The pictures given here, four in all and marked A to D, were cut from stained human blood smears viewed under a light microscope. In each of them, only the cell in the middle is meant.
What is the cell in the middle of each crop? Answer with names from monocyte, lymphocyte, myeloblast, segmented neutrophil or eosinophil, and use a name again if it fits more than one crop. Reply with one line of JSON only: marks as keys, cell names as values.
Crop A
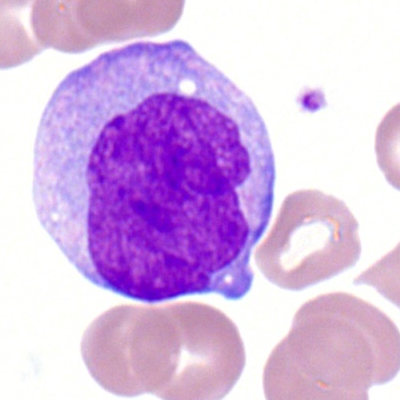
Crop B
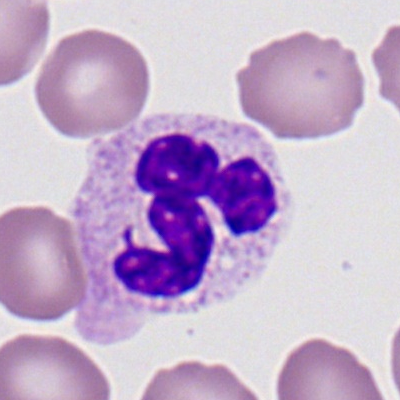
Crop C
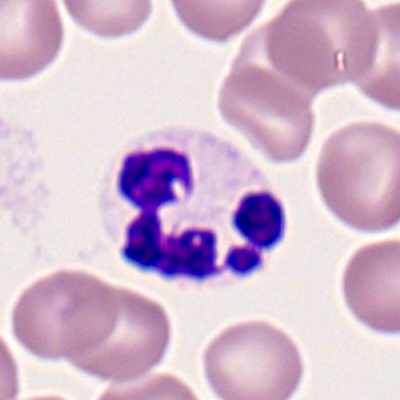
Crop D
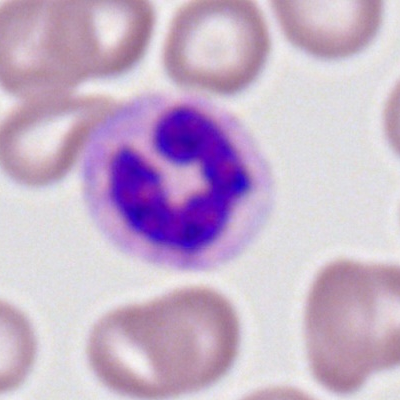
{"A": "monocyte", "B": "segmented neutrophil", "C": "segmented neutrophil", "D": "segmented neutrophil"}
